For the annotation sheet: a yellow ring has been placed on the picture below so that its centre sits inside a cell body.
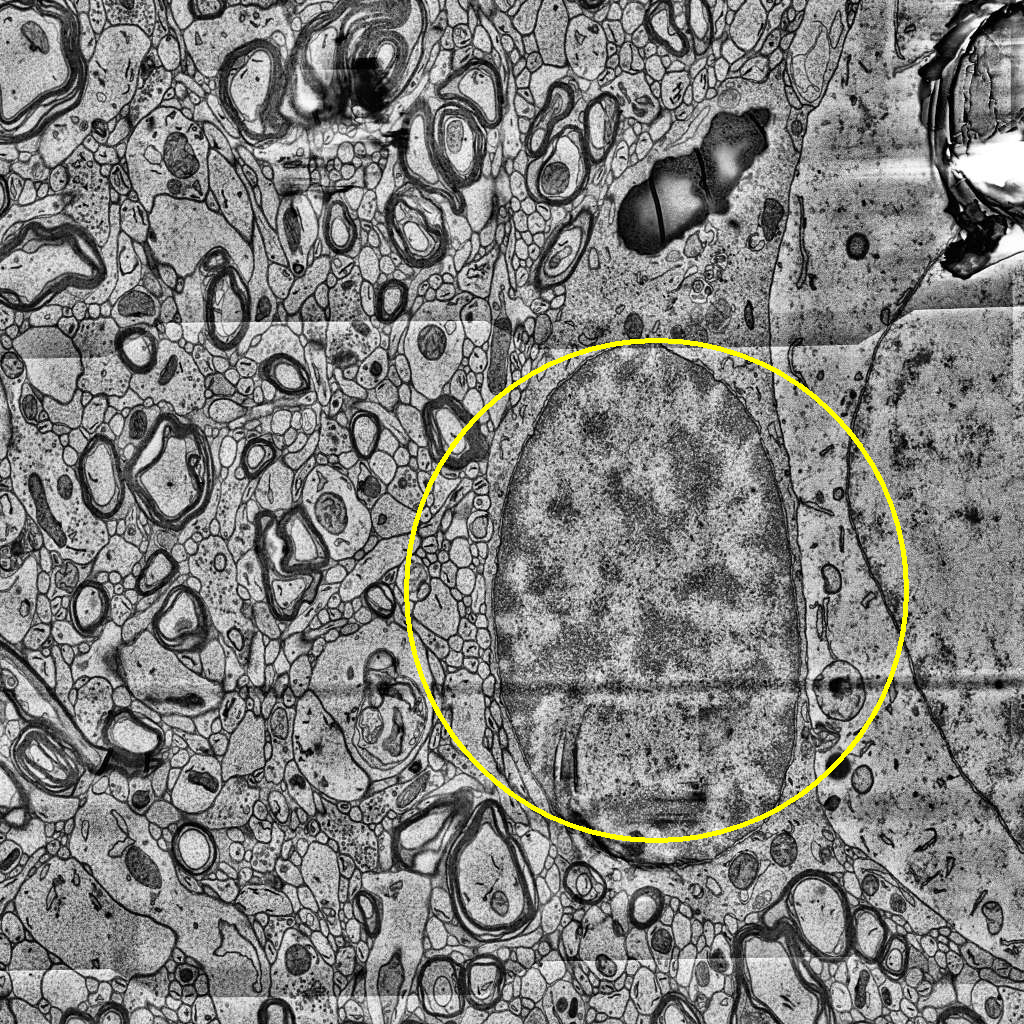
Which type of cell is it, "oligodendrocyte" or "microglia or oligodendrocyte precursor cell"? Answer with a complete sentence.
The cell at the ring's centre is an oligodendrocyte.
